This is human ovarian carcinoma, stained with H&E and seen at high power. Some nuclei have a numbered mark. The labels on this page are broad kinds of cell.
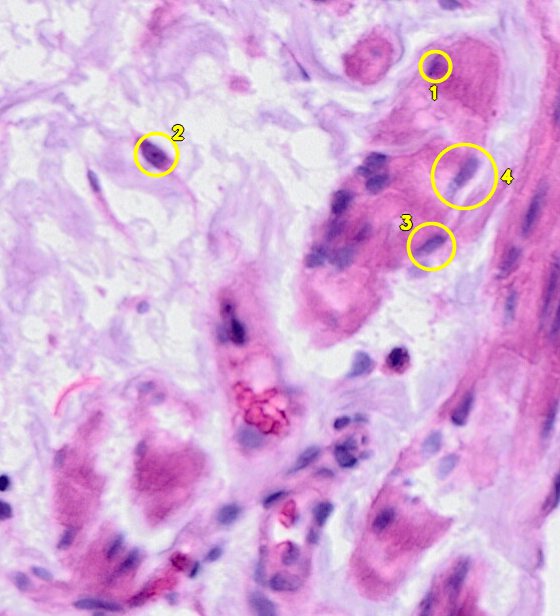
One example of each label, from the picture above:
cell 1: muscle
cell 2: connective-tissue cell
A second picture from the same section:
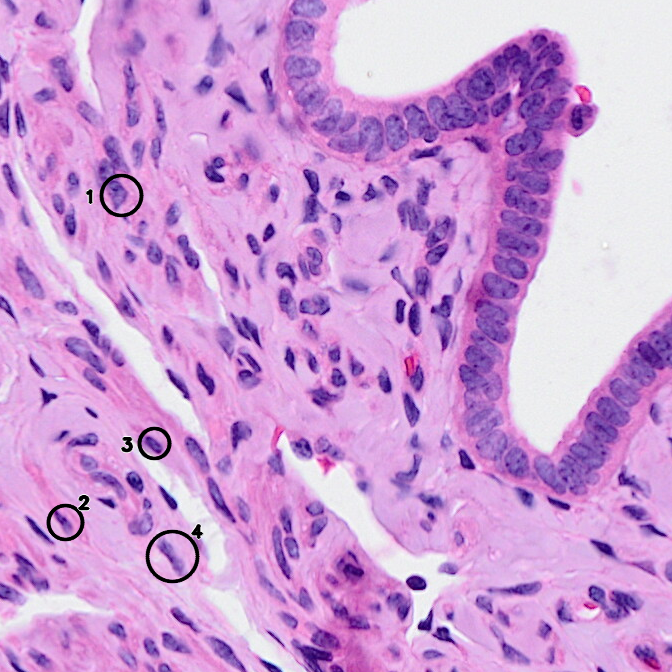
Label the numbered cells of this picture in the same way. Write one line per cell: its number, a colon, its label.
1: muscle
2: muscle
3: muscle
4: connective-tissue cell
